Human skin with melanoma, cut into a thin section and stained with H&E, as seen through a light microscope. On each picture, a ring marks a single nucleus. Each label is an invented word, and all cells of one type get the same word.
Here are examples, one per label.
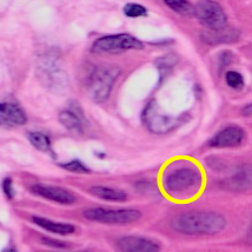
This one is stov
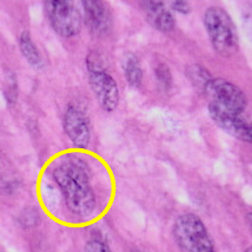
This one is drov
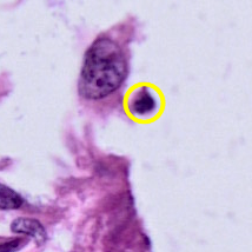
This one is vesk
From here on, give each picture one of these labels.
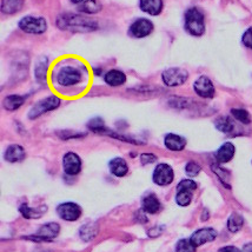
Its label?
vesk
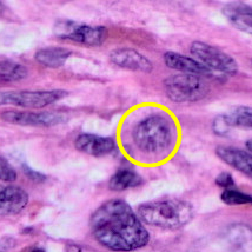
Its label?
drov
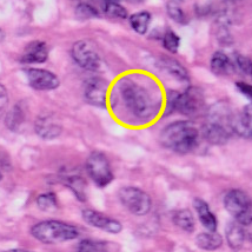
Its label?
drov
